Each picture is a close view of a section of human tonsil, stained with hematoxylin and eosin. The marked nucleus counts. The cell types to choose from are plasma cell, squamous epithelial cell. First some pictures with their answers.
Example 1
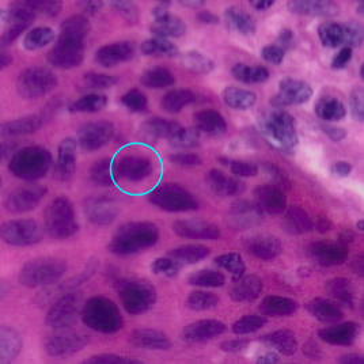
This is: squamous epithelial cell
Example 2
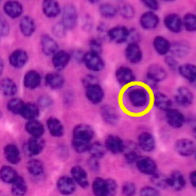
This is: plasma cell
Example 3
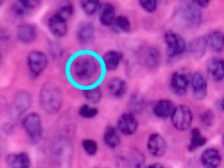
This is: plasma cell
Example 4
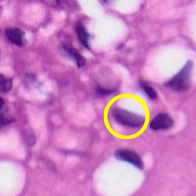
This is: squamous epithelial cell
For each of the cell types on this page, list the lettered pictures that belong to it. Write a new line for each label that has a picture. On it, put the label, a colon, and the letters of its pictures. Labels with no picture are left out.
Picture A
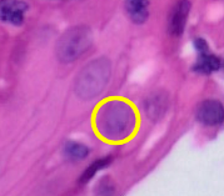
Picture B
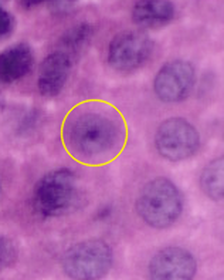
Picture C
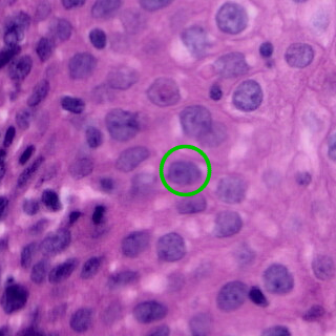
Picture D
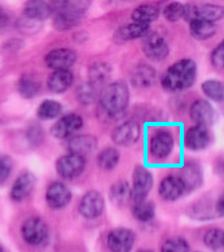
plasma cell: D
squamous epithelial cell: A, B, C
